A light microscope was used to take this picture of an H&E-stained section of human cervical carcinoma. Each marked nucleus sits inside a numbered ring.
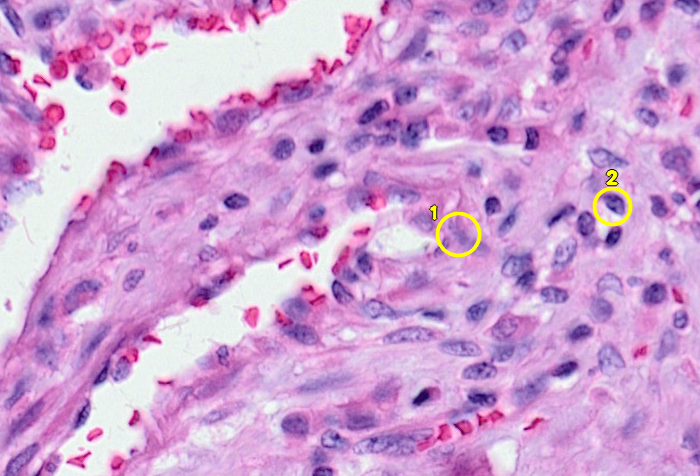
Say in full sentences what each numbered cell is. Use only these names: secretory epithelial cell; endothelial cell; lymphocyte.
Cell 1 is an endothelial cell and cell 2 is a lymphocyte.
